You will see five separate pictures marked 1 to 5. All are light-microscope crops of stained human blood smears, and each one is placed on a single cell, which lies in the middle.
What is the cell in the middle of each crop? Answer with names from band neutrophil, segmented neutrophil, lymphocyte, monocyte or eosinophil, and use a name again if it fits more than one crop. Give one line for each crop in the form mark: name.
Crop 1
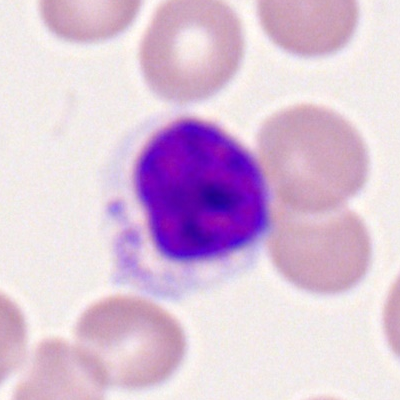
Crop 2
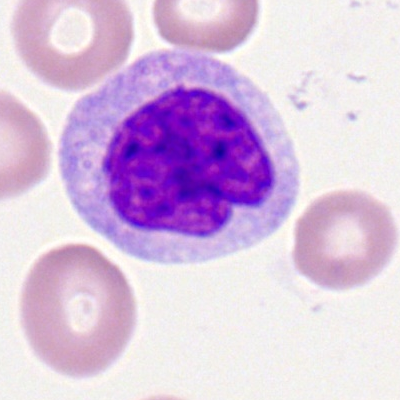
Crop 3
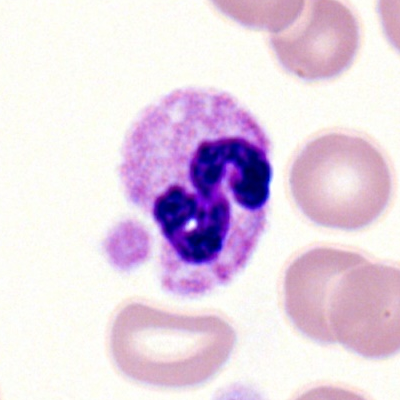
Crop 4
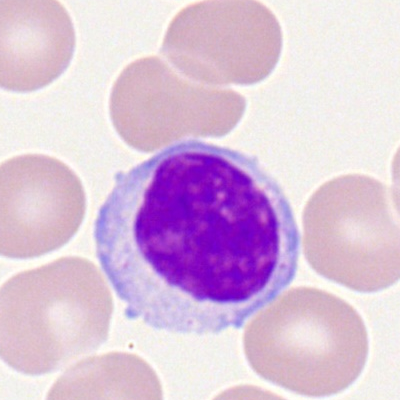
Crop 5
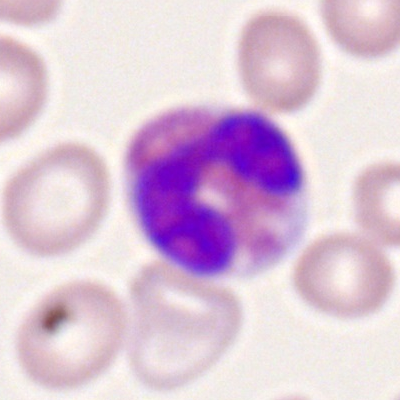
1: lymphocyte
2: monocyte
3: segmented neutrophil
4: lymphocyte
5: eosinophil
